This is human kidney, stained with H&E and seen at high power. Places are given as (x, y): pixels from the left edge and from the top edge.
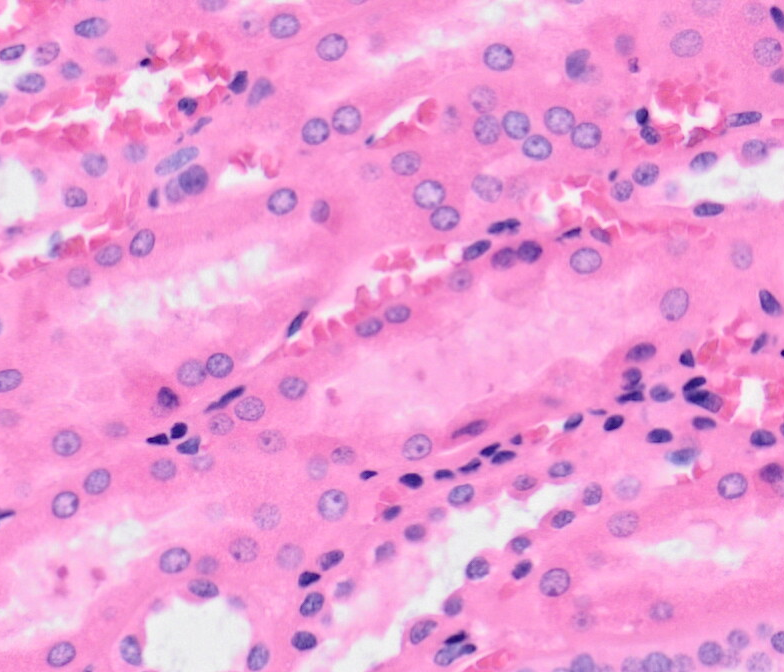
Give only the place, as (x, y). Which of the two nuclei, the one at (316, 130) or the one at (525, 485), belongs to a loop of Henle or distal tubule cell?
(525, 485)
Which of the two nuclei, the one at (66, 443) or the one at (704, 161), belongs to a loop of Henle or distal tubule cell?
(704, 161)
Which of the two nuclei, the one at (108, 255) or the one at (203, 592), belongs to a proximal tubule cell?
(108, 255)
